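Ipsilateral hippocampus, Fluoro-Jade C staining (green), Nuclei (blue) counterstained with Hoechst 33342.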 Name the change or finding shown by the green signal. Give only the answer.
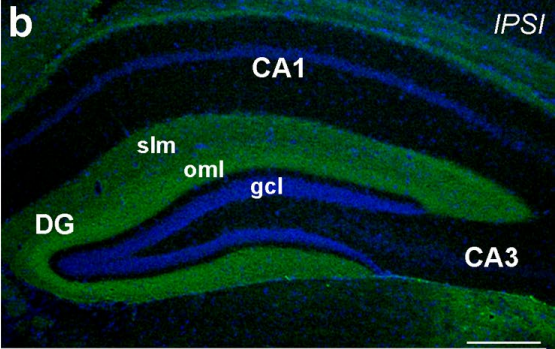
Layer-specific denervation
